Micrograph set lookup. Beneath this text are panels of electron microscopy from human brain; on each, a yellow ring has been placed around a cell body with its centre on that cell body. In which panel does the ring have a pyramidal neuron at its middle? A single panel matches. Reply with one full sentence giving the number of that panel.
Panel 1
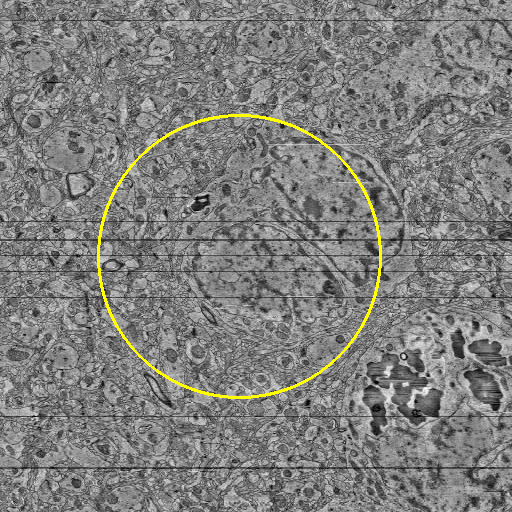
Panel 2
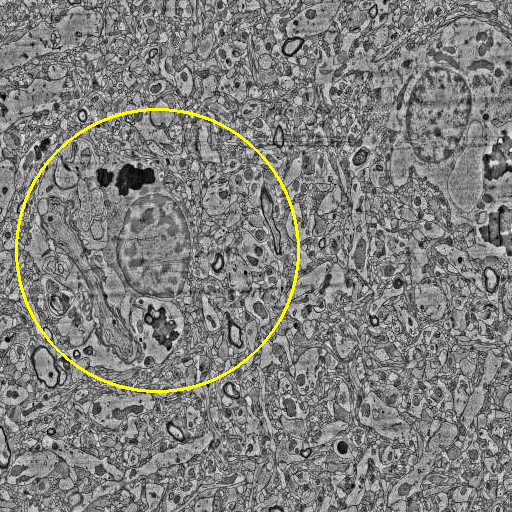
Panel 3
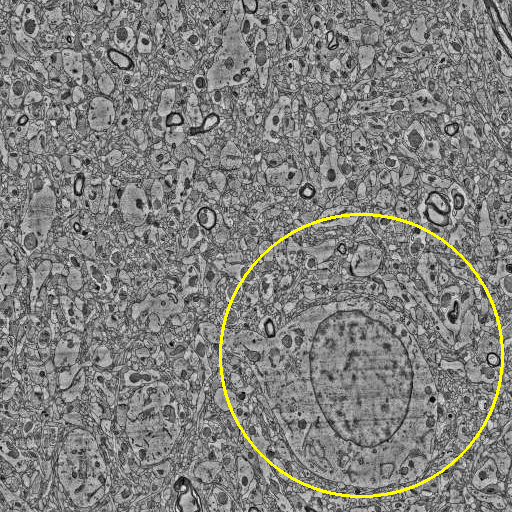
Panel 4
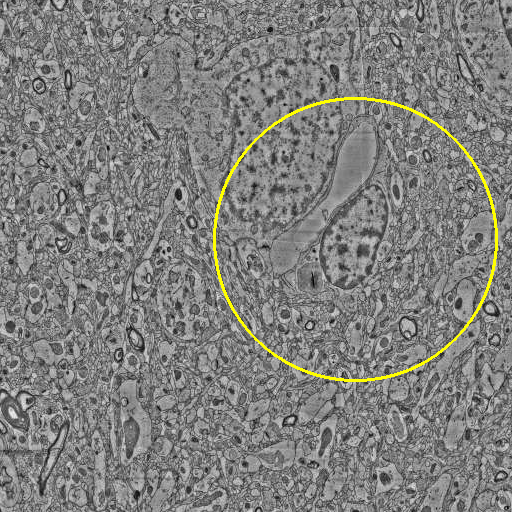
Panel 3 is the one whose ring has the sought cell at its centre.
